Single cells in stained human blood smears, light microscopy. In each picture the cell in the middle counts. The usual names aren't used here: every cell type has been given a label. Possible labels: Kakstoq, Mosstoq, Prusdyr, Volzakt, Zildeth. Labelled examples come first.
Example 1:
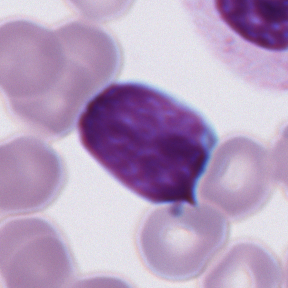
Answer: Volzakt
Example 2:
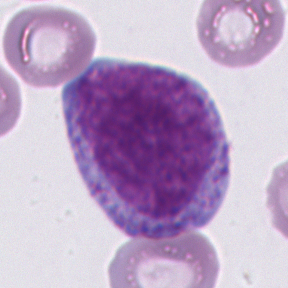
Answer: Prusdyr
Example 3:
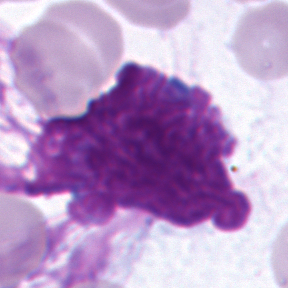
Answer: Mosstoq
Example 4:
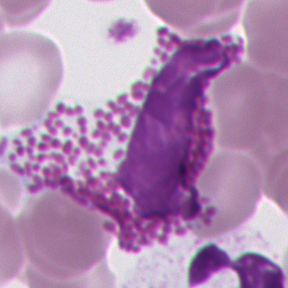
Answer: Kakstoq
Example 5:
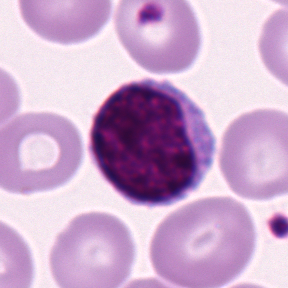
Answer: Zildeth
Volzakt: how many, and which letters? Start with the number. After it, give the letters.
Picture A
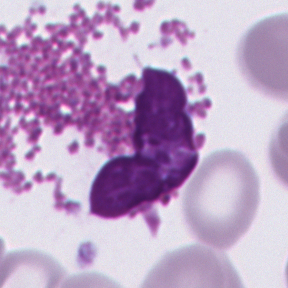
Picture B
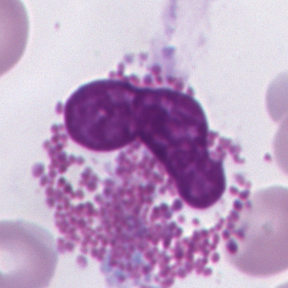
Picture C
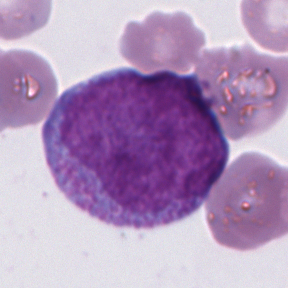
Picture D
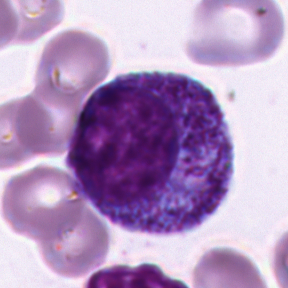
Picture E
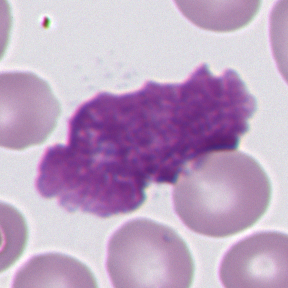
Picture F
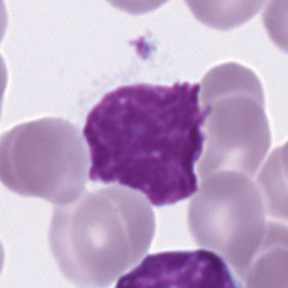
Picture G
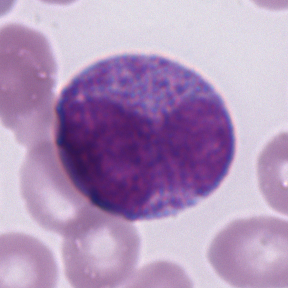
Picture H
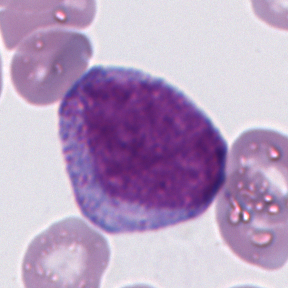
0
